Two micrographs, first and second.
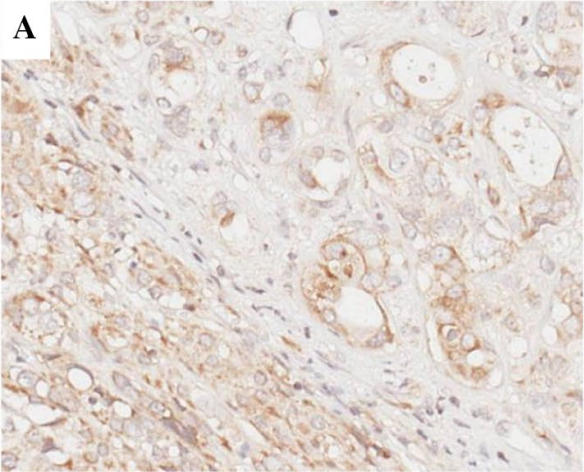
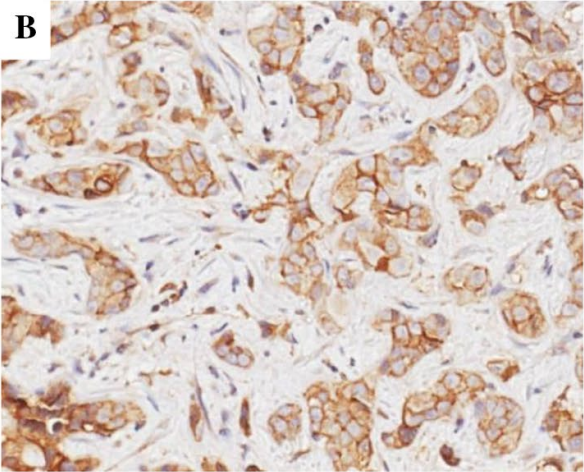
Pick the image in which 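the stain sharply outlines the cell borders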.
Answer: The second image.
